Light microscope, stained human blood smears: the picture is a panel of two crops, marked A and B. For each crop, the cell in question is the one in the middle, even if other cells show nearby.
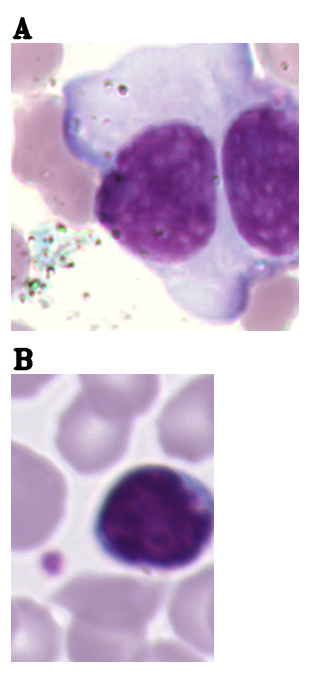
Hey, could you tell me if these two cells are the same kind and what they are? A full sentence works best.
No, look again: crop A shows a plasma cell, and crop B shows a lymphocyte.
